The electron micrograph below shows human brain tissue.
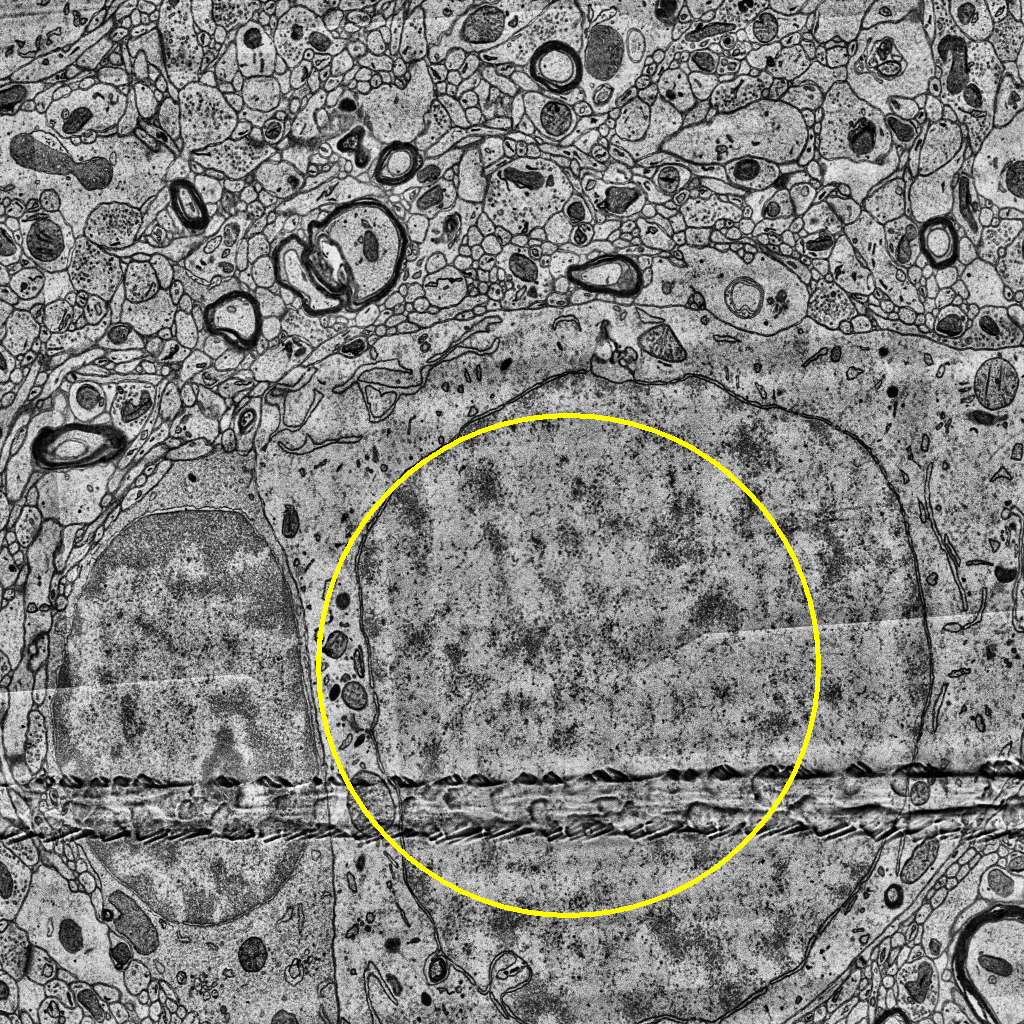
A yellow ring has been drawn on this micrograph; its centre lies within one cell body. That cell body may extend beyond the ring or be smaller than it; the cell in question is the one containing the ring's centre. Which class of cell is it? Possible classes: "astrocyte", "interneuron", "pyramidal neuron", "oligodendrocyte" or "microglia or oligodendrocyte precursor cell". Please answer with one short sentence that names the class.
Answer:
In the centre of the ring sits a pyramidal neuron.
